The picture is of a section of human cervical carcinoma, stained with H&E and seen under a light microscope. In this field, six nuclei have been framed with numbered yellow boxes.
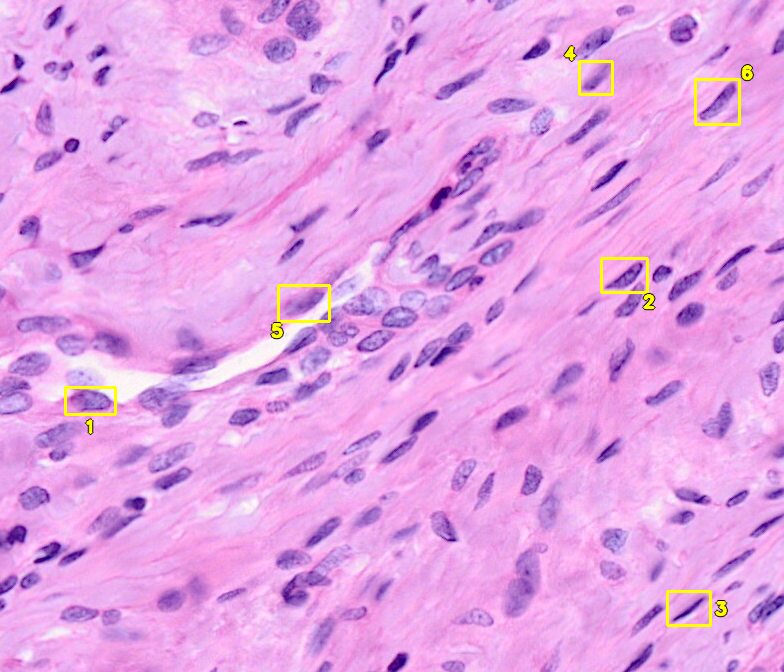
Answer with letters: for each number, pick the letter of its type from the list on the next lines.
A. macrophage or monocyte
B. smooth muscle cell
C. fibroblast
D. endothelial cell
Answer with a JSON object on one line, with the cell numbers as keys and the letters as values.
{"1": "D", "2": "C", "3": "C", "4": "C", "5": "D", "6": "C"}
